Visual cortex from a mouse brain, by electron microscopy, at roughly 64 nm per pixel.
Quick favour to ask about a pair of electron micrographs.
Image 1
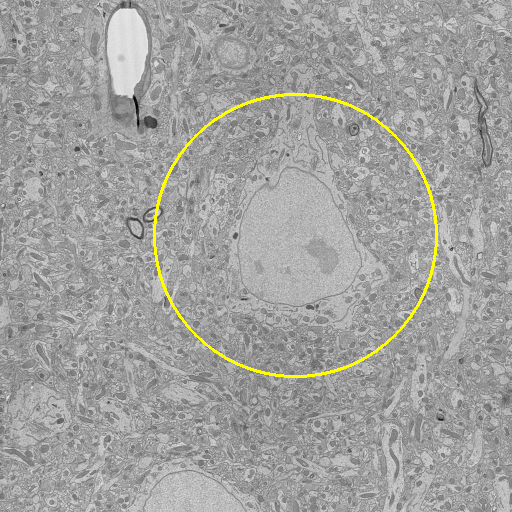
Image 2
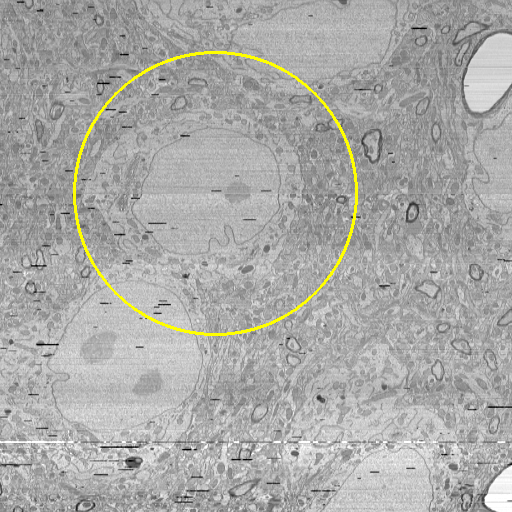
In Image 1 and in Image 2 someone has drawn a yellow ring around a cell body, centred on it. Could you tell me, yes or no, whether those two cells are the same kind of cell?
yes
